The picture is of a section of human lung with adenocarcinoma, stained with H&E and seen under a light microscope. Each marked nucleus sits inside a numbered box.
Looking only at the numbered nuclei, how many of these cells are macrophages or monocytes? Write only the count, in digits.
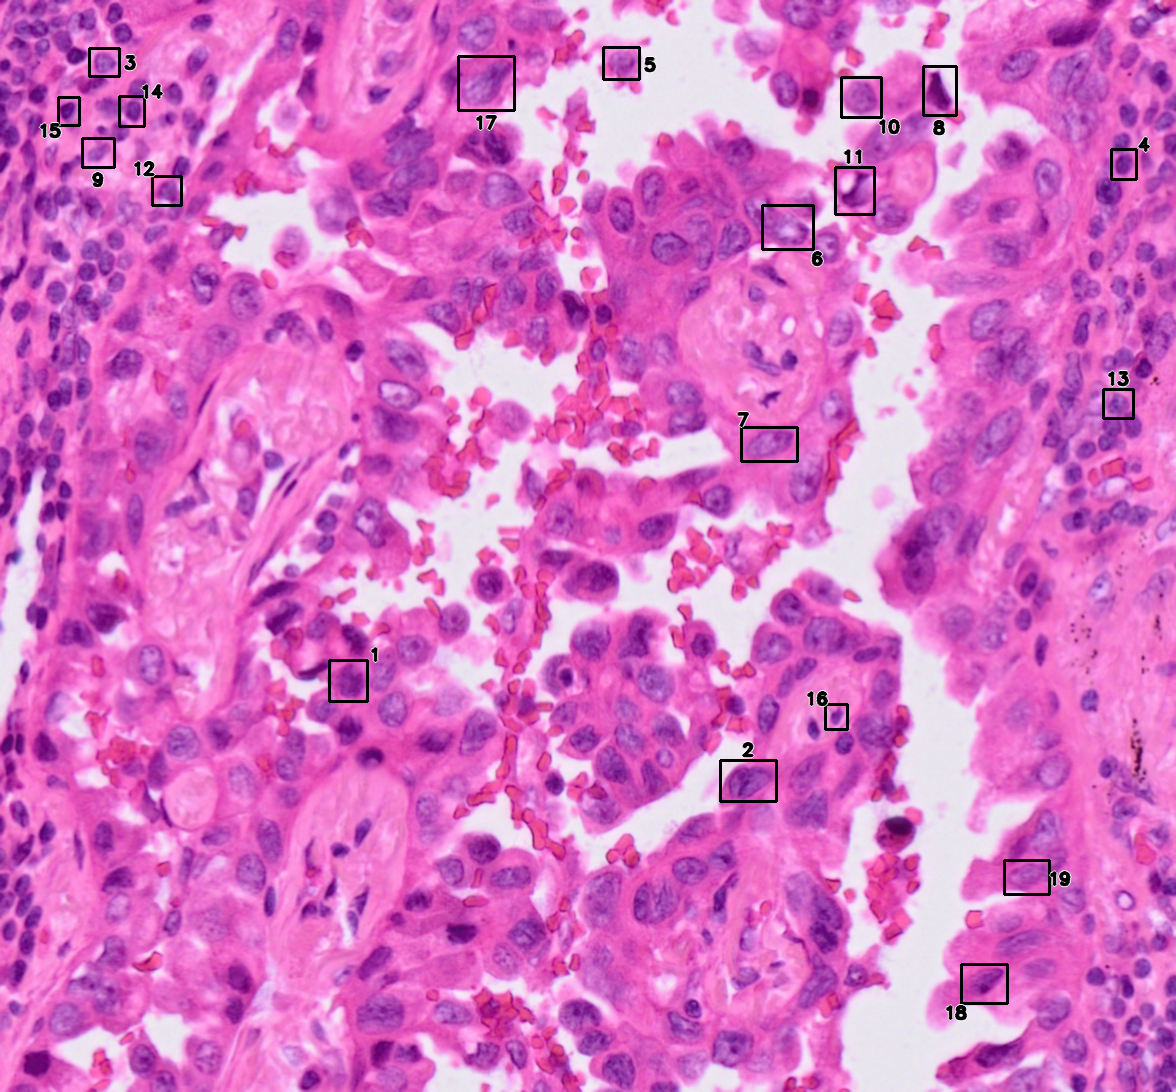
1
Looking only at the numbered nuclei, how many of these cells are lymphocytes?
8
